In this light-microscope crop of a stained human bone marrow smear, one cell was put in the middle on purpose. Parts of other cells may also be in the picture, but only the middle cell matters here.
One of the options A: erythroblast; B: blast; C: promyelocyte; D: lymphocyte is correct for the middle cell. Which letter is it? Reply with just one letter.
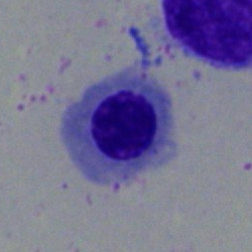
A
